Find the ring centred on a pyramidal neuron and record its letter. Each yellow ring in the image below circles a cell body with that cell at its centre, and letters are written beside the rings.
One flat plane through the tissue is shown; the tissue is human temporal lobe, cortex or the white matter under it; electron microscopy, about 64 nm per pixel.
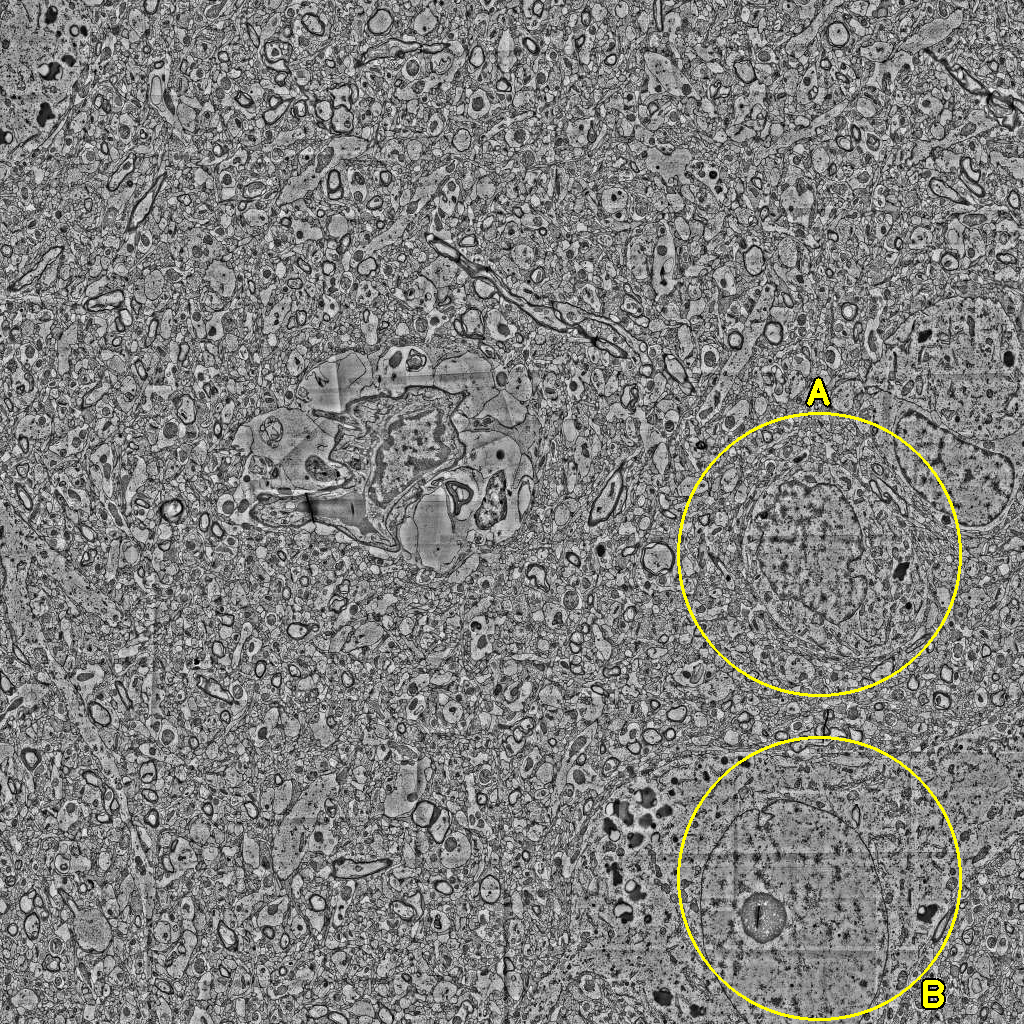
B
